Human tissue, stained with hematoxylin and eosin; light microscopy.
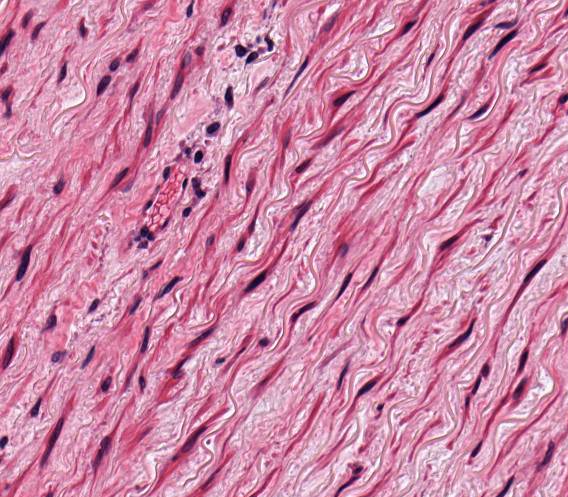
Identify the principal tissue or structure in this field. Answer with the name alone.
tunica media of an artery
